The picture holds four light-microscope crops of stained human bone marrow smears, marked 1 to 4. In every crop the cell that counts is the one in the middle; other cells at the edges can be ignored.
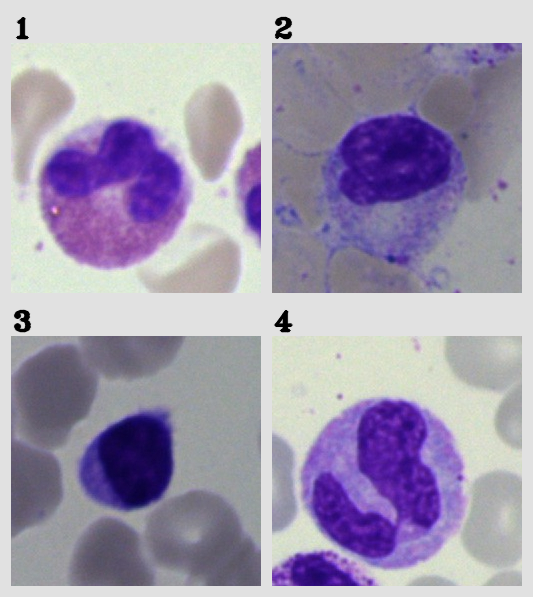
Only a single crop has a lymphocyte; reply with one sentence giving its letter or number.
In this series, a lymphocyte is shown by crop 3.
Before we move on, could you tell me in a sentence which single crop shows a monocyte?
Crop 4 is identified as the crop showing a monocyte.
